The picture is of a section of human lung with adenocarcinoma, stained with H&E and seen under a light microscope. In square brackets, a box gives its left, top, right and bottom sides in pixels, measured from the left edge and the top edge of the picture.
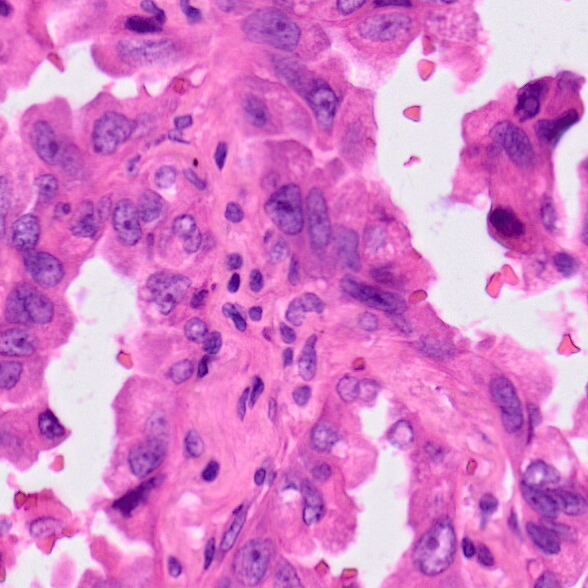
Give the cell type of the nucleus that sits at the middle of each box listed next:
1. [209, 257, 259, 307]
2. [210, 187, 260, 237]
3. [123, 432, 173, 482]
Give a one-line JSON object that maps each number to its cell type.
{"1": "lymphocyte", "2": "lymphocyte", "3": "carcinoma cell"}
